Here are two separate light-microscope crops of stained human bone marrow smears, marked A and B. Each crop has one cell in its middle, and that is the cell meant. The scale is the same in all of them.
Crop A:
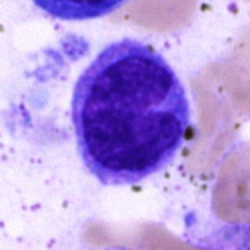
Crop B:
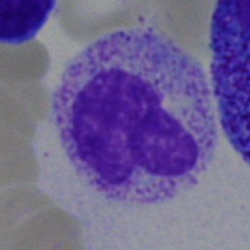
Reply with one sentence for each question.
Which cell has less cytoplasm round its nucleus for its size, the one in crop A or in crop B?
It is the cell in crop A that is filled more by its nucleus.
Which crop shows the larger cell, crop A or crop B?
Larger is the cell in crop B, at roughly 1.5 times the area of the other.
